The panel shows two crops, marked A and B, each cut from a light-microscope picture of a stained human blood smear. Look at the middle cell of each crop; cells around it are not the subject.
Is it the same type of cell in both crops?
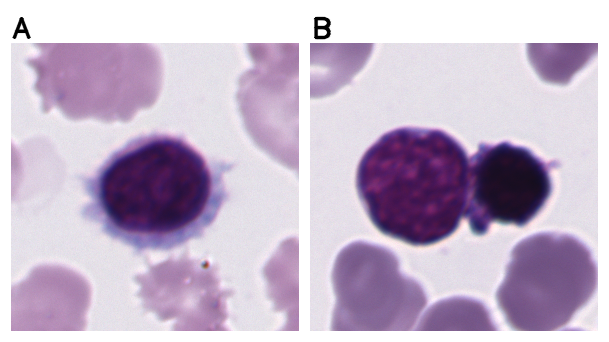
no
